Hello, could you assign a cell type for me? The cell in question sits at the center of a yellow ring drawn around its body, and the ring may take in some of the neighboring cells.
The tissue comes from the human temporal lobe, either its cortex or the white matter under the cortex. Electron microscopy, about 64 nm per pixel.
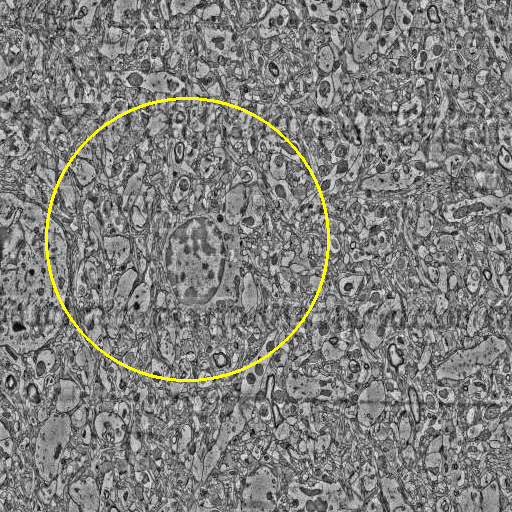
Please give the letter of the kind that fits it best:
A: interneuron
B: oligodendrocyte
B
